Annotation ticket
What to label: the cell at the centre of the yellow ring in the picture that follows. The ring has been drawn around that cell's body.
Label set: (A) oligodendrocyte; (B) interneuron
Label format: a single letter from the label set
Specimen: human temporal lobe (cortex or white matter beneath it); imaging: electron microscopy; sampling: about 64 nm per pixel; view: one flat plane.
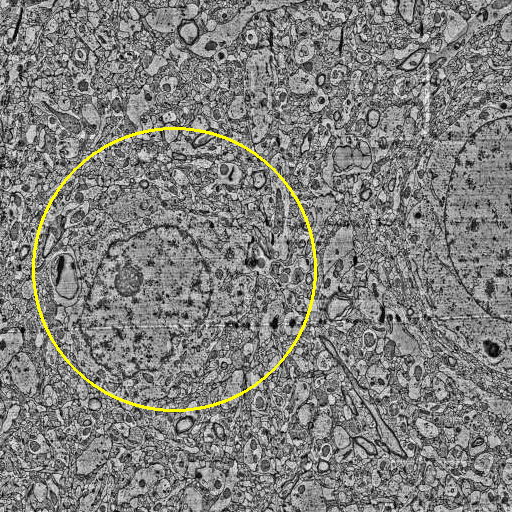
B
